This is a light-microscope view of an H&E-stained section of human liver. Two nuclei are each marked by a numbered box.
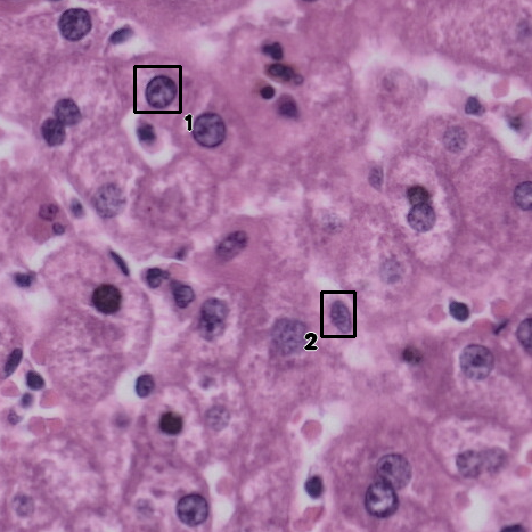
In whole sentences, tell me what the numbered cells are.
Cell 1 is a hepatocyte and cell 2 is a Kupffer cell.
